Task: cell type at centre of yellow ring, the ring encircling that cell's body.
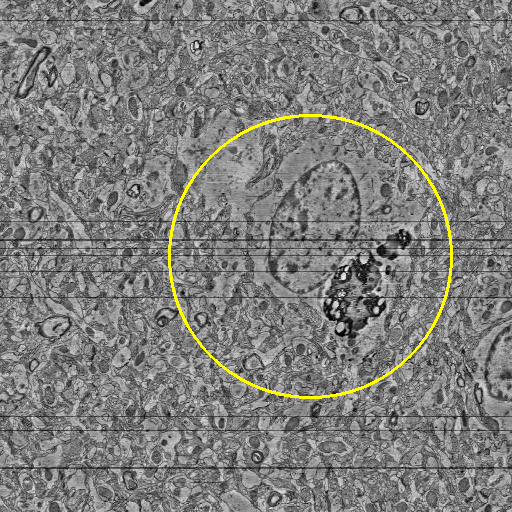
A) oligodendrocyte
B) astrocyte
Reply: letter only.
B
